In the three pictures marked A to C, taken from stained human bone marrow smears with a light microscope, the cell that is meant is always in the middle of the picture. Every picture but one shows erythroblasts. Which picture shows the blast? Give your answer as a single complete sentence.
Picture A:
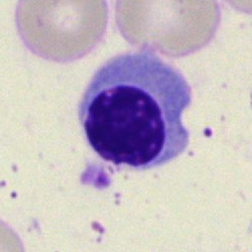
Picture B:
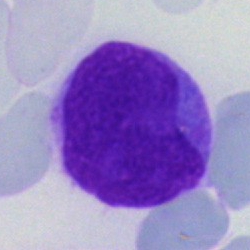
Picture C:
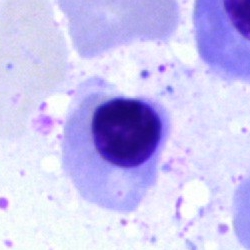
The cell in picture B is the blast.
